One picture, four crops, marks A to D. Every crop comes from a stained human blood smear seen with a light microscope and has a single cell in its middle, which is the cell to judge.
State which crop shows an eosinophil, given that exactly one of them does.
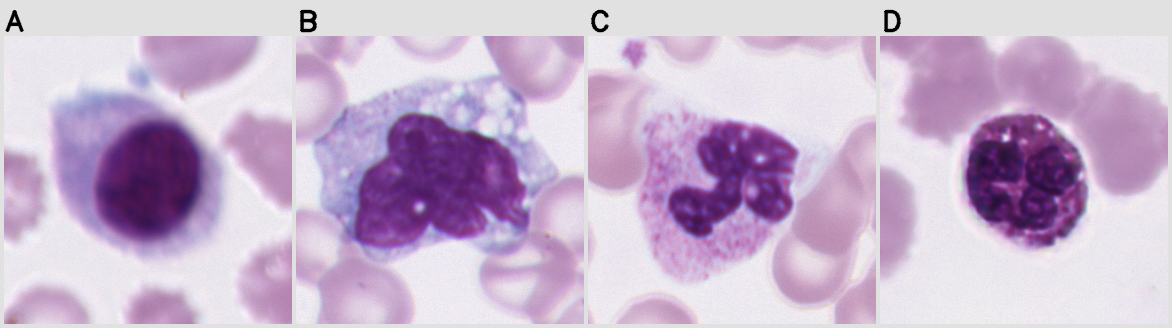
D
